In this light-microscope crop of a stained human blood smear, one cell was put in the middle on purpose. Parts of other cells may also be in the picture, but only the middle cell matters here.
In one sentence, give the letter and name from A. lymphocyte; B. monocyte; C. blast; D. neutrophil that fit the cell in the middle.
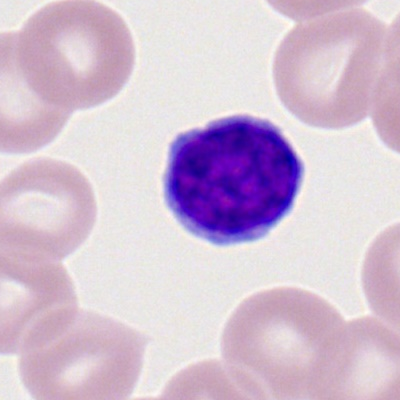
Option A is the keyed answer: the cell in the middle is a lymphocyte.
